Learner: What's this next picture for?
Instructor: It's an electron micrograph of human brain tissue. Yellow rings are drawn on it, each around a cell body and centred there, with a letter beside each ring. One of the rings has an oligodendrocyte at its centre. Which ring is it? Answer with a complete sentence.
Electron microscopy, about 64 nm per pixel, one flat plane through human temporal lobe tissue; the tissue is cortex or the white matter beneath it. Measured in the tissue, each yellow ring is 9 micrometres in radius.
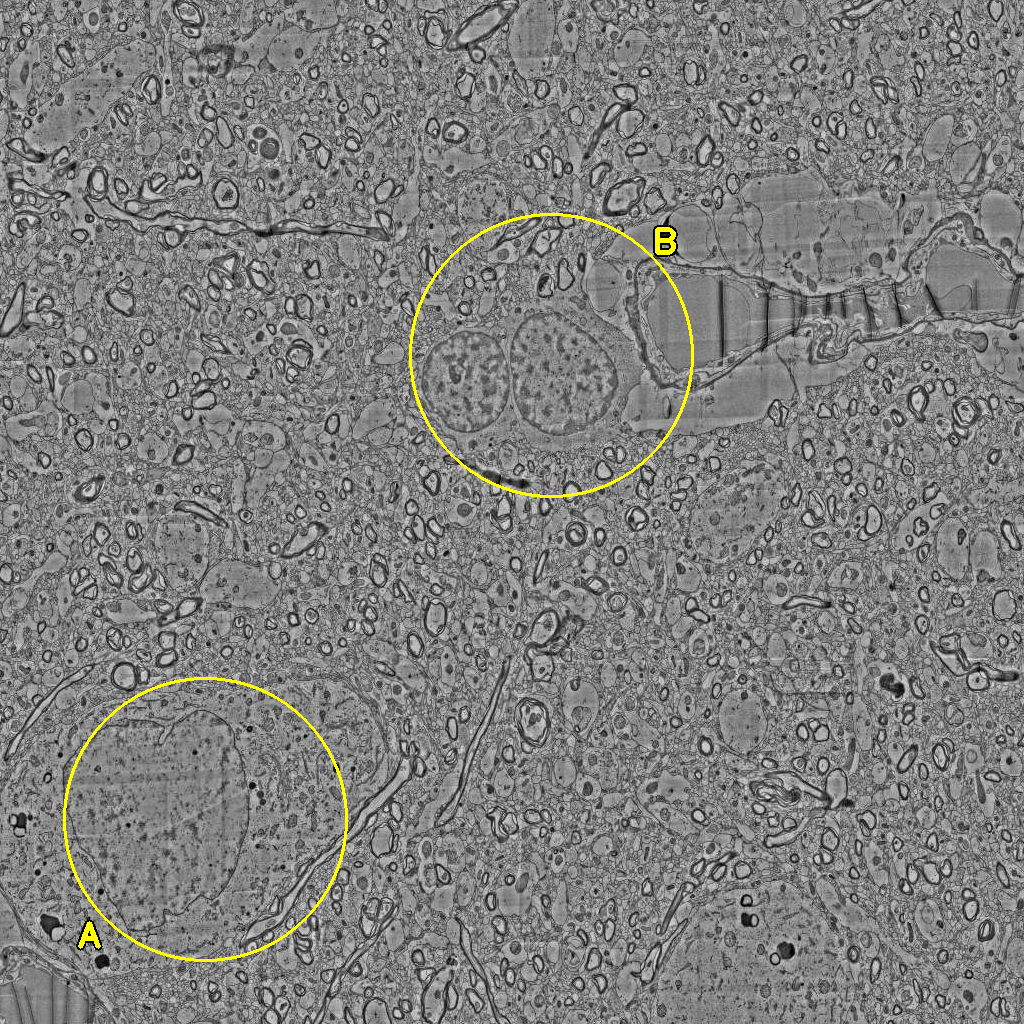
Ring B is centred on it.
